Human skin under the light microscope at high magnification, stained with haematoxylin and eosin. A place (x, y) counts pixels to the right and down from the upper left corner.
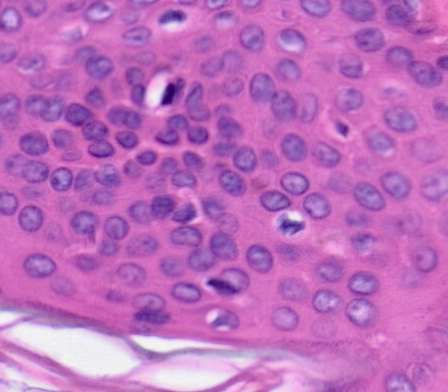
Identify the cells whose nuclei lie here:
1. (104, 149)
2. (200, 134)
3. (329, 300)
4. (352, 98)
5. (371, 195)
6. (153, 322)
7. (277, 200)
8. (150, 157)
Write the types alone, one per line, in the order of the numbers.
basal keratinocyte
basal keratinocyte
suprabasal keratinocyte
suprabasal keratinocyte
suprabasal keratinocyte
suprabasal keratinocyte
suprabasal keratinocyte
basal keratinocyte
